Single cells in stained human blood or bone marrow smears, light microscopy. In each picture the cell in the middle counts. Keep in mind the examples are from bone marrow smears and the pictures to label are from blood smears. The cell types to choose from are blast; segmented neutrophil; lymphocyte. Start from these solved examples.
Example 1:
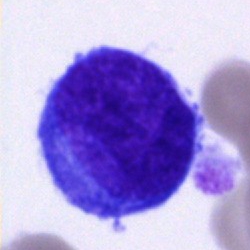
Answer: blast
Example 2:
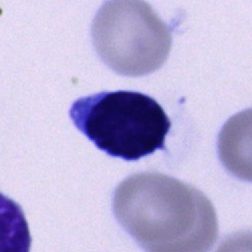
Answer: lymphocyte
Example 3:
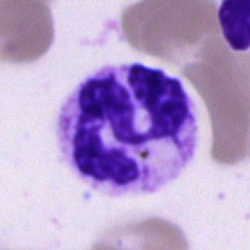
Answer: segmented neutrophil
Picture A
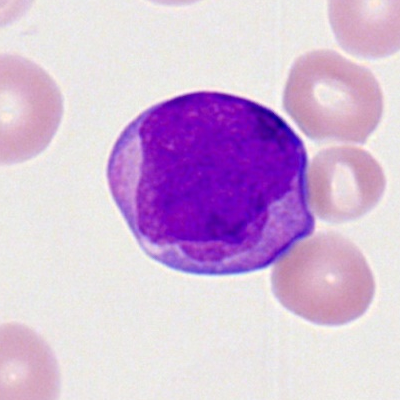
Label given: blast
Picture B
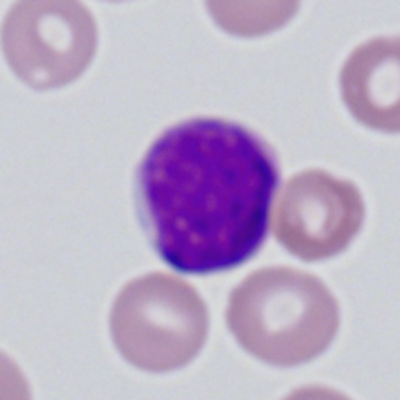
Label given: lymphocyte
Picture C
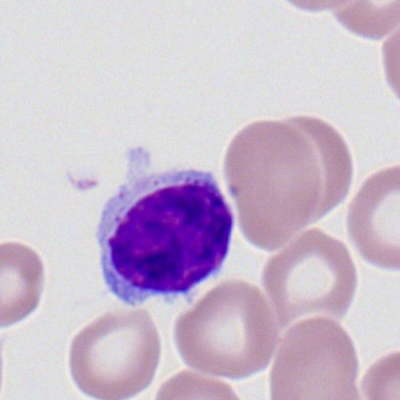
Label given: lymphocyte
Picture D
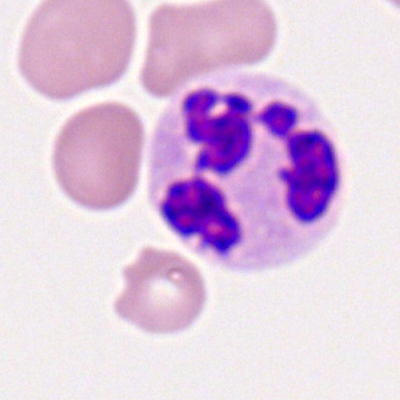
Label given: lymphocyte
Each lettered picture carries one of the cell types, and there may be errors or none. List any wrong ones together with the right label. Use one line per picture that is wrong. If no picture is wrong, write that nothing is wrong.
D: segmented neutrophil, not lymphocyte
